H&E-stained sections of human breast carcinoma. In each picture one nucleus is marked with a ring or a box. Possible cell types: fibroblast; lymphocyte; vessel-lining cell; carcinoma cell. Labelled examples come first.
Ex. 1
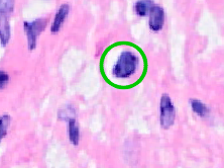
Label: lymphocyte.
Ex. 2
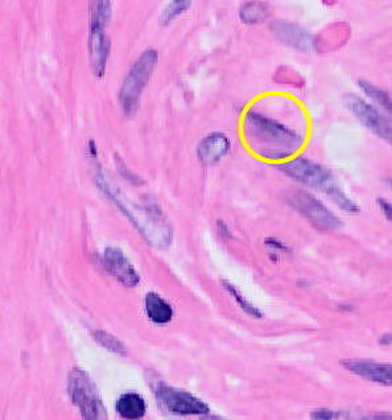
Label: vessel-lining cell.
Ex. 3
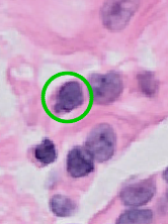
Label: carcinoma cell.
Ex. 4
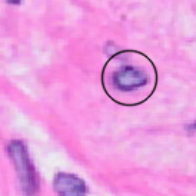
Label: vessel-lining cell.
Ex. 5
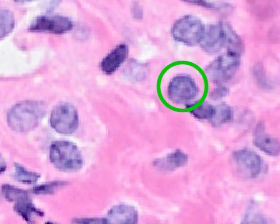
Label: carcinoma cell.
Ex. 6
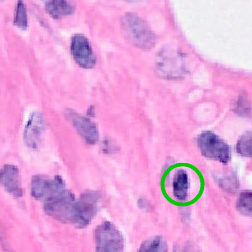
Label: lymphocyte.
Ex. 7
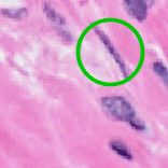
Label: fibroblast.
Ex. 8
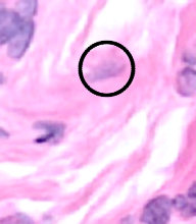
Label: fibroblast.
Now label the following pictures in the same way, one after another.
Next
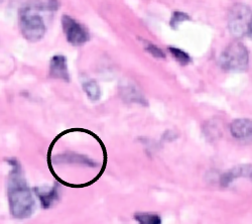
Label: fibroblast.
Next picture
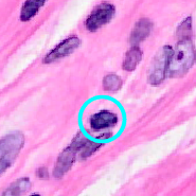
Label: lymphocyte.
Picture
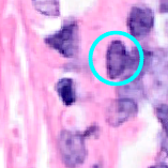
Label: carcinoma cell.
